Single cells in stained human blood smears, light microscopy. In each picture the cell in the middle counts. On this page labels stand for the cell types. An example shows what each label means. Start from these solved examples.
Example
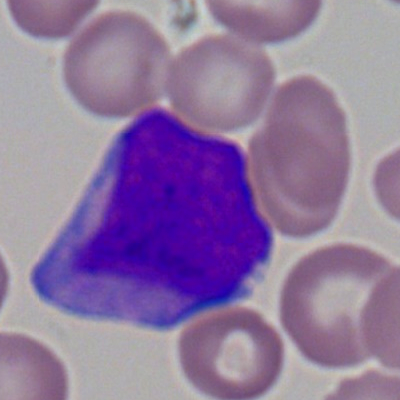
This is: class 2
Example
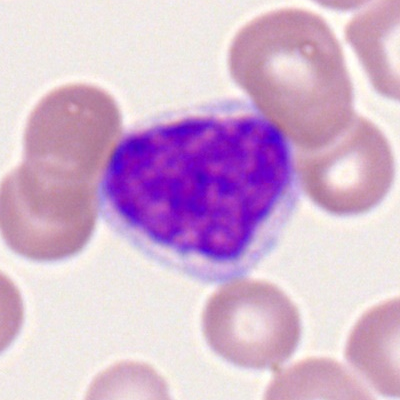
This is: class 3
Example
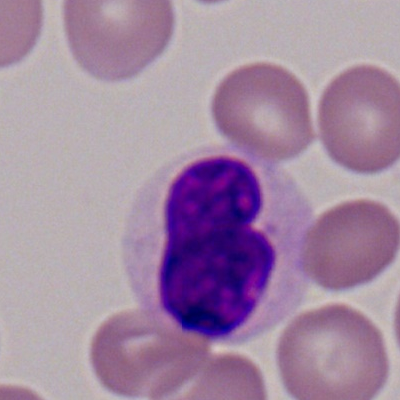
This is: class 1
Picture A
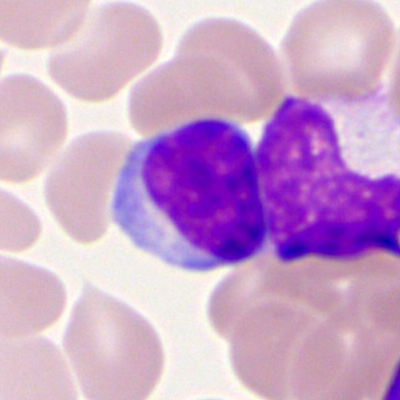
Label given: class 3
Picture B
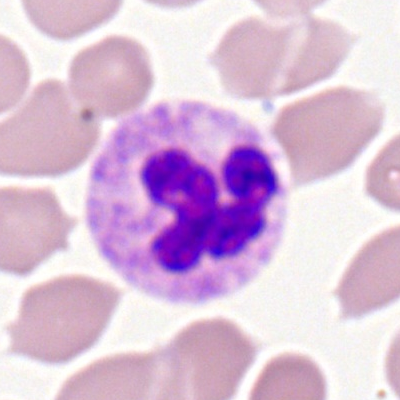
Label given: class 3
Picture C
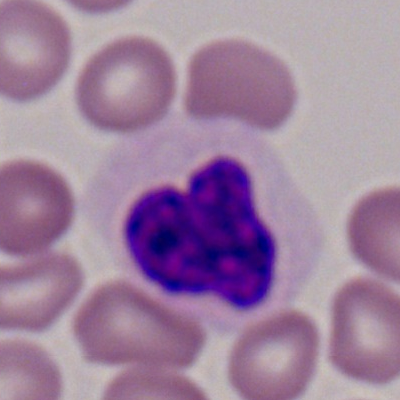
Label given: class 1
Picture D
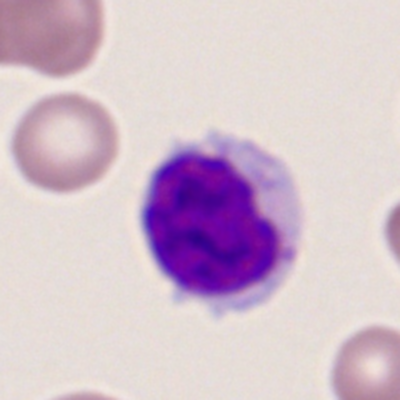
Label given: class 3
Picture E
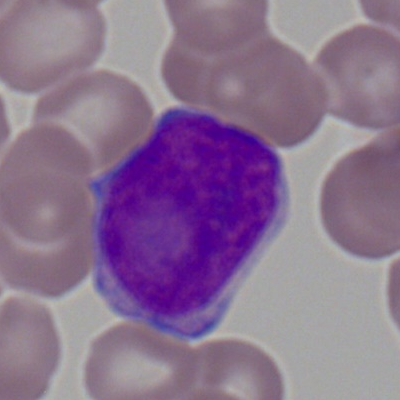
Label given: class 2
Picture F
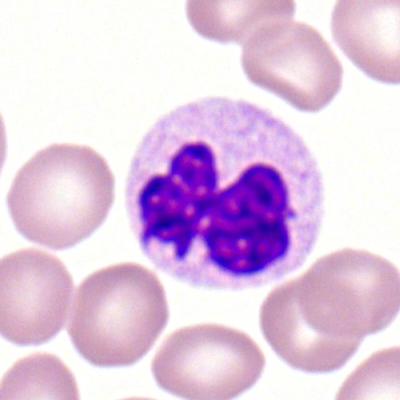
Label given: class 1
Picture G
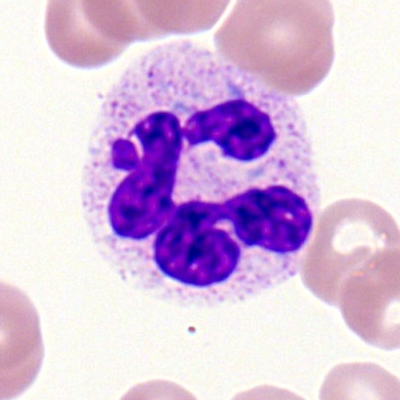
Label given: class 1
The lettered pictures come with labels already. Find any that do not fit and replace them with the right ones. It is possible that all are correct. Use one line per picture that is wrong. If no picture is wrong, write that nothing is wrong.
Wrong: B (class 3); correct: class 1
